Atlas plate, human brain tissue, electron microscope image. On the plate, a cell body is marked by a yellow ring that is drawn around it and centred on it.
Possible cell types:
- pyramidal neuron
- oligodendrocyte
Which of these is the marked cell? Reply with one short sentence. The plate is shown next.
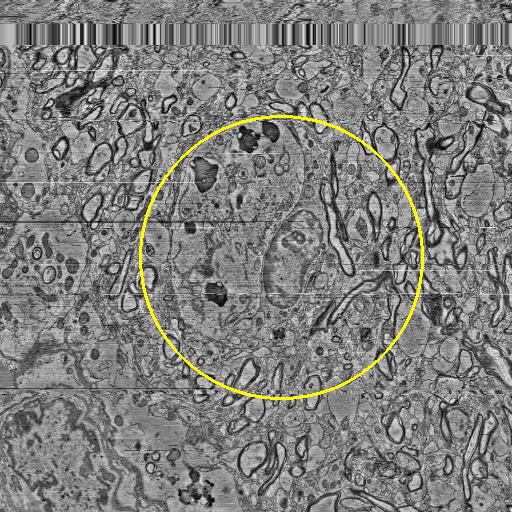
The marked cell is an oligodendrocyte.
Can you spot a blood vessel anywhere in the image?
Yes.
